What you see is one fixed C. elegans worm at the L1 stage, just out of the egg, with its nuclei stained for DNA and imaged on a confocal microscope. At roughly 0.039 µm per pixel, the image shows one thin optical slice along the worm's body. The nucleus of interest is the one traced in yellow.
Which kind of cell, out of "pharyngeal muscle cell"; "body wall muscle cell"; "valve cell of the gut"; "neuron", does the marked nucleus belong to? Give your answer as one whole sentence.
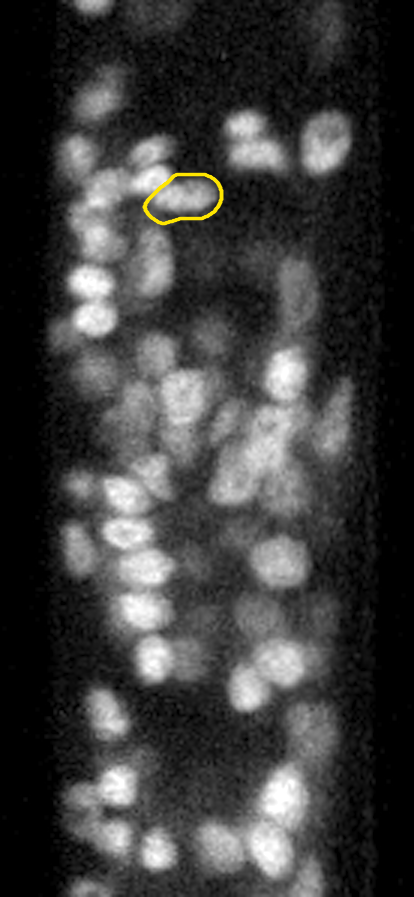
The cell with the marked nucleus is a pharyngeal muscle cell.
